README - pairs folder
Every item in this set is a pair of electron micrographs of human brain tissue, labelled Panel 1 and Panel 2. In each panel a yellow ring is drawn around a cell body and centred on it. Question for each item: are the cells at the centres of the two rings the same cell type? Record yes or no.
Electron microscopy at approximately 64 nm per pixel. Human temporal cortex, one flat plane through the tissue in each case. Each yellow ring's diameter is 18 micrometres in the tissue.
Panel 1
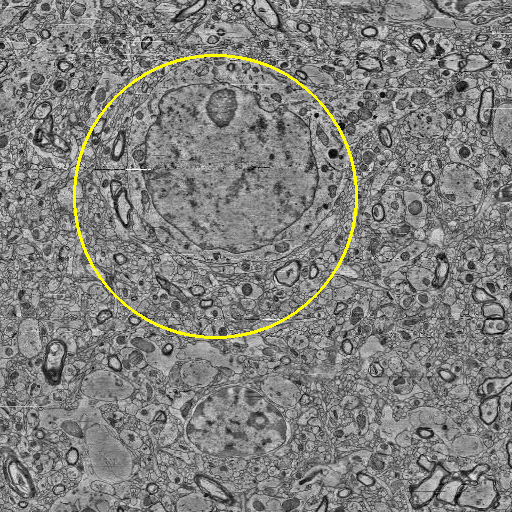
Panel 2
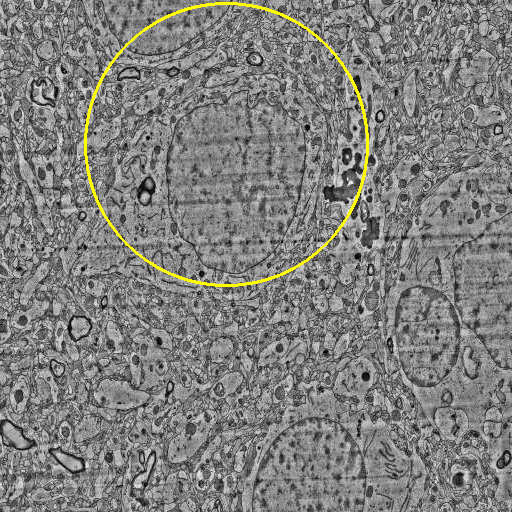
yes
